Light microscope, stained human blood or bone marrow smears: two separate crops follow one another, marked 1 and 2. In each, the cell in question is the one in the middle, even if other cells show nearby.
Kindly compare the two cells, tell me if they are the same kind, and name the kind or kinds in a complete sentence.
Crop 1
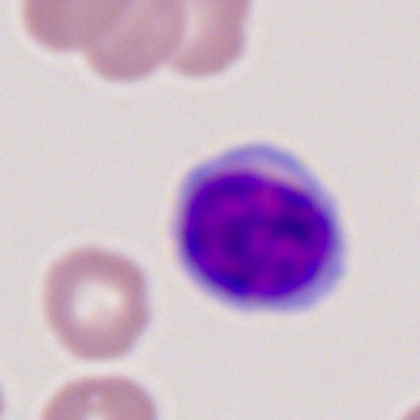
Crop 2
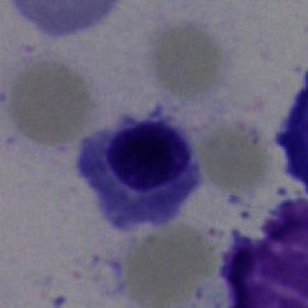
No, an erythroblast is depicted in crop 2, whereas a lymphocyte is depicted in crop 1.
